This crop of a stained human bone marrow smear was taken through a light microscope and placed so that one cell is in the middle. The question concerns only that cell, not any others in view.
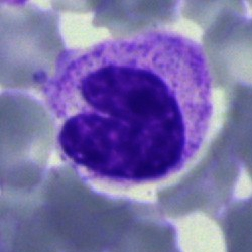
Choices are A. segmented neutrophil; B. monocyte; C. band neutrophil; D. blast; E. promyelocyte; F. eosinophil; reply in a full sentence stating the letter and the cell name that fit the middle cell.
Option C, which names the central cell as a band neutrophil, is correct.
